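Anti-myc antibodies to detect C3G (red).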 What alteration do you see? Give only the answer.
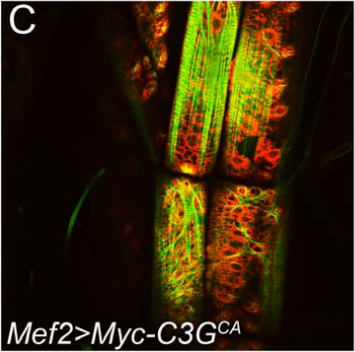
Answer: Muscle fibers appear disorganized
